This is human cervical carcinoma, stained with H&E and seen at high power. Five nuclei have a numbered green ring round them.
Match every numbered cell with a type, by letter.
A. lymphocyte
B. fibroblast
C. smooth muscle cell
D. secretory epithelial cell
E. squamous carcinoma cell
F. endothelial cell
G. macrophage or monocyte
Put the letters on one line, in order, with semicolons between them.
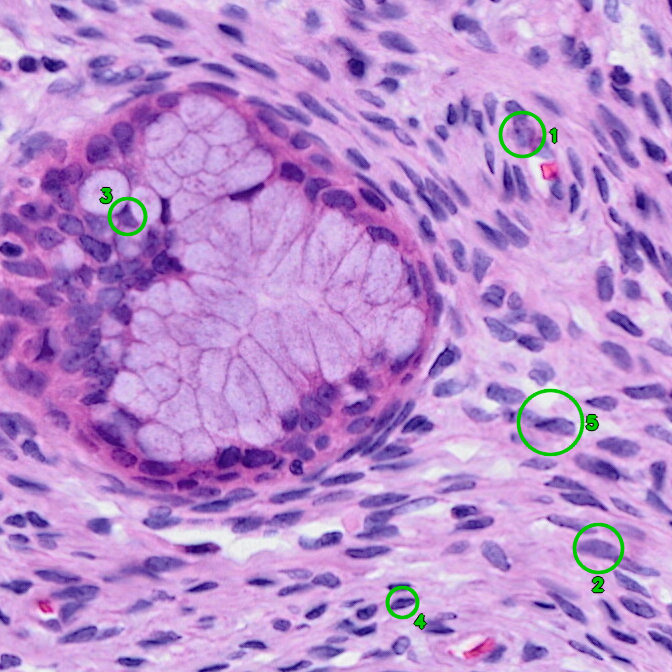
F; B; D; B; B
